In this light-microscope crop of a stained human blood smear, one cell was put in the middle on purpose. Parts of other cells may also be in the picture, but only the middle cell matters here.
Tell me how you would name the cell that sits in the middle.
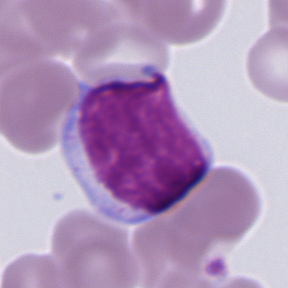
large granular lymphocyte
